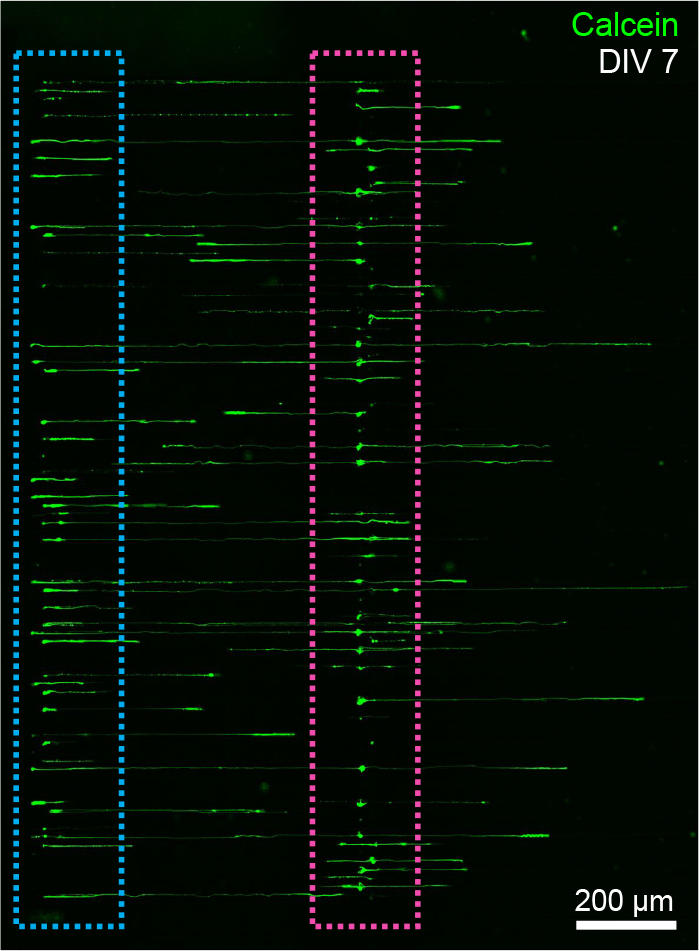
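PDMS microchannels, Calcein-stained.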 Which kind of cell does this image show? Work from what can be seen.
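Neurons. Small bright cell bodies give off very long, thin processes. The processes run straight and parallel across the field. Cell bodies cluster in two vertical bands.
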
